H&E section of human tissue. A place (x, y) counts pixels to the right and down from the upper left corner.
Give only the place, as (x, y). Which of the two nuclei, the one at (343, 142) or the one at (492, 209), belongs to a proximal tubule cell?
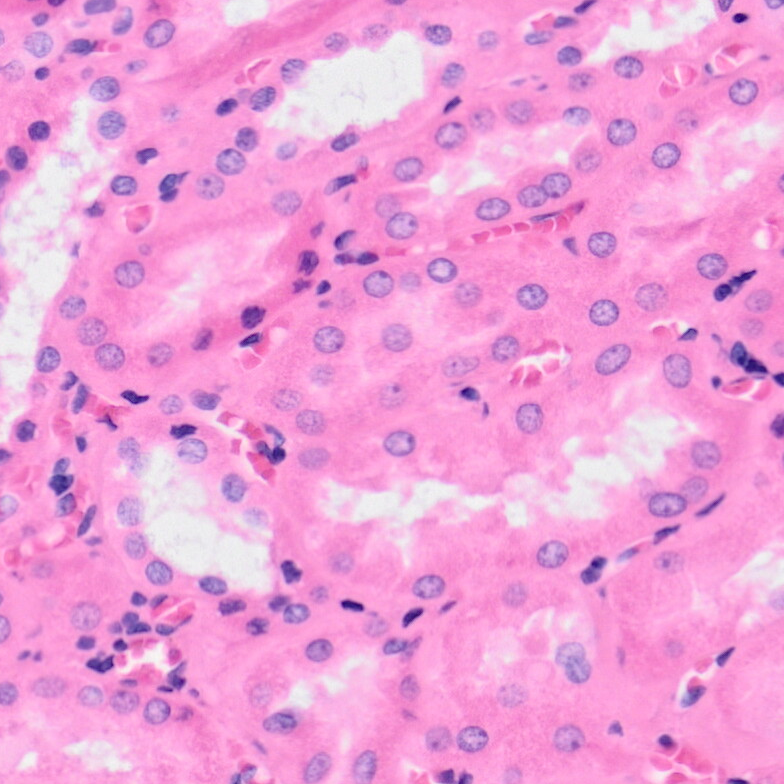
(492, 209)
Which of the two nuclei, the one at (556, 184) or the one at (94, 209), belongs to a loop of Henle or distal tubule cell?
(94, 209)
